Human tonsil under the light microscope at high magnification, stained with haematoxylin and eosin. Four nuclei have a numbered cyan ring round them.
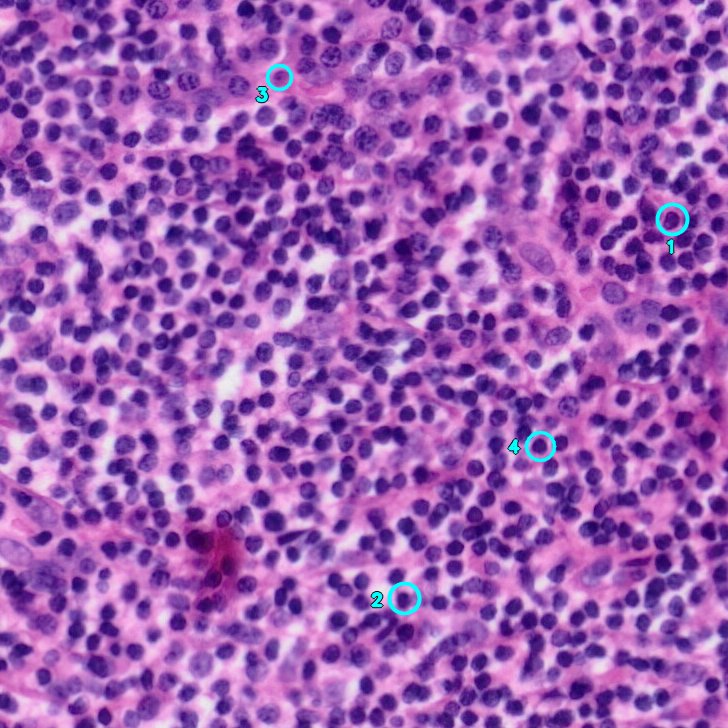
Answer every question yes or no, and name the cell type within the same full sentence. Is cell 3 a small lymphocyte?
No, the cell that carries number 3 is an endothelial cell, not a small lymphocyte.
